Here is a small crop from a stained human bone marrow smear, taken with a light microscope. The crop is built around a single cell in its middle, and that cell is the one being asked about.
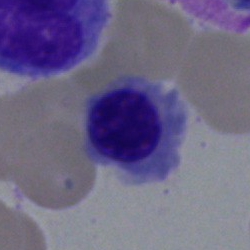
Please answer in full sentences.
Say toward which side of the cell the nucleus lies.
Seen from the middle of the cell, the nucleus lies toward the left.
